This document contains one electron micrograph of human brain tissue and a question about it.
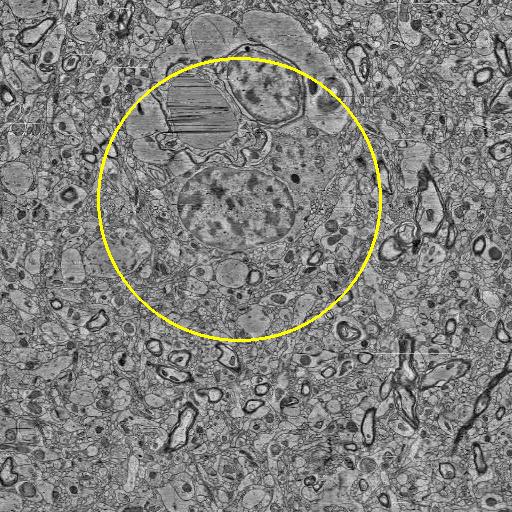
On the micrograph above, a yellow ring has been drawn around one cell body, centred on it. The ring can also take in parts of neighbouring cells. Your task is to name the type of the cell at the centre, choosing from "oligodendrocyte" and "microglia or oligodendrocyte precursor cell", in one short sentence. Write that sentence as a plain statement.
Here the ring is centred on an oligodendrocyte.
